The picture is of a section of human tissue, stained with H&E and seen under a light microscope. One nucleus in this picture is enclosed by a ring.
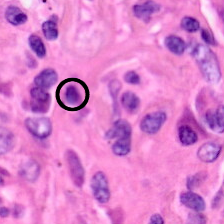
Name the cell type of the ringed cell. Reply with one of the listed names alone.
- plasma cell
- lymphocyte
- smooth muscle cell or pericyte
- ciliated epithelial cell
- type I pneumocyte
plasma cell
